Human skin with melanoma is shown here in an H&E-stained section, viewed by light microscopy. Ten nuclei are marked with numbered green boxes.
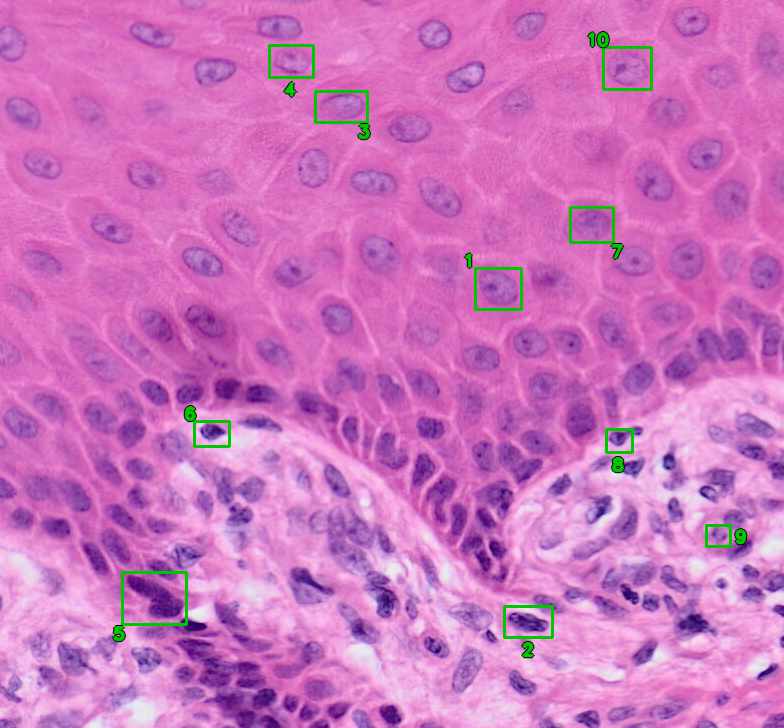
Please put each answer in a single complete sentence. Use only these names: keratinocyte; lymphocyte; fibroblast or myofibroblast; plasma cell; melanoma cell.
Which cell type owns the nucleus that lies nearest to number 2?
Number 2 lies closest to the nucleus of a fibroblast or myofibroblast.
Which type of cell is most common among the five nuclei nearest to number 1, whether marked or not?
Around number 1, most of the five nearest nuclei are those of keratinocytes.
